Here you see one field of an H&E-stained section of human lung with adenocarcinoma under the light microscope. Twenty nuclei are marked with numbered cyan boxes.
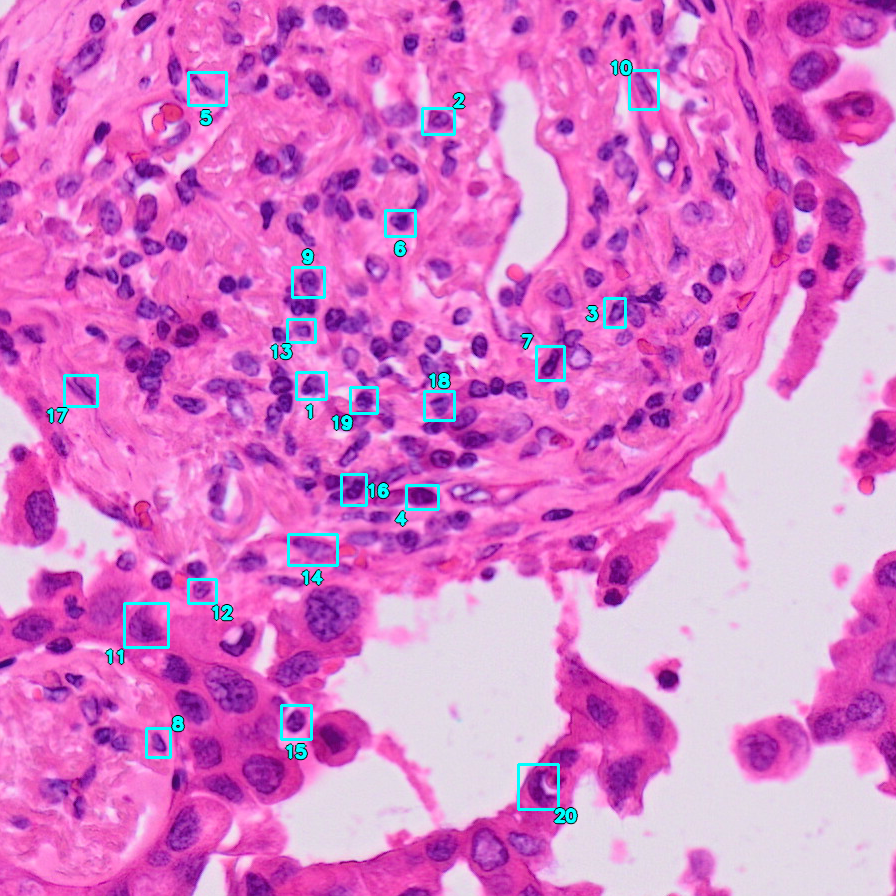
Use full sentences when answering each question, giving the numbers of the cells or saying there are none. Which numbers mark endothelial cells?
Into the category of endothelial cells fall the cells numbered 10 and 14.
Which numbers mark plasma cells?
The cells picked out by numbers 2, 4, 7 and 16 are plasma cells.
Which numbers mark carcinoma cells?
The cells identified by the numbers 11 and 20 are carcinoma cells.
